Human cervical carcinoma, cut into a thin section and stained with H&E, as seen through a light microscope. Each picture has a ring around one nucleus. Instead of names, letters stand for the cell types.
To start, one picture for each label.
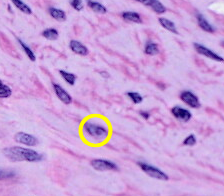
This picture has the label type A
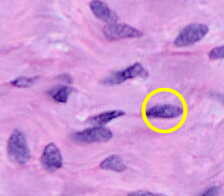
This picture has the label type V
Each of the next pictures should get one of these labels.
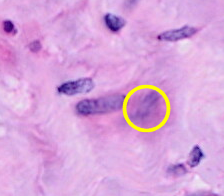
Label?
type A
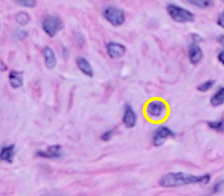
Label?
type A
